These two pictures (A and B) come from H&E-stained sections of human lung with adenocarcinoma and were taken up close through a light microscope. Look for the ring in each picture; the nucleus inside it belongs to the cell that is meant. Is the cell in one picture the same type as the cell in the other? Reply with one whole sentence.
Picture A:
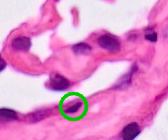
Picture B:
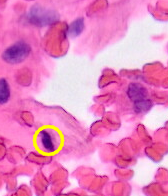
Yes, the two pictures both show endothelial cells.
